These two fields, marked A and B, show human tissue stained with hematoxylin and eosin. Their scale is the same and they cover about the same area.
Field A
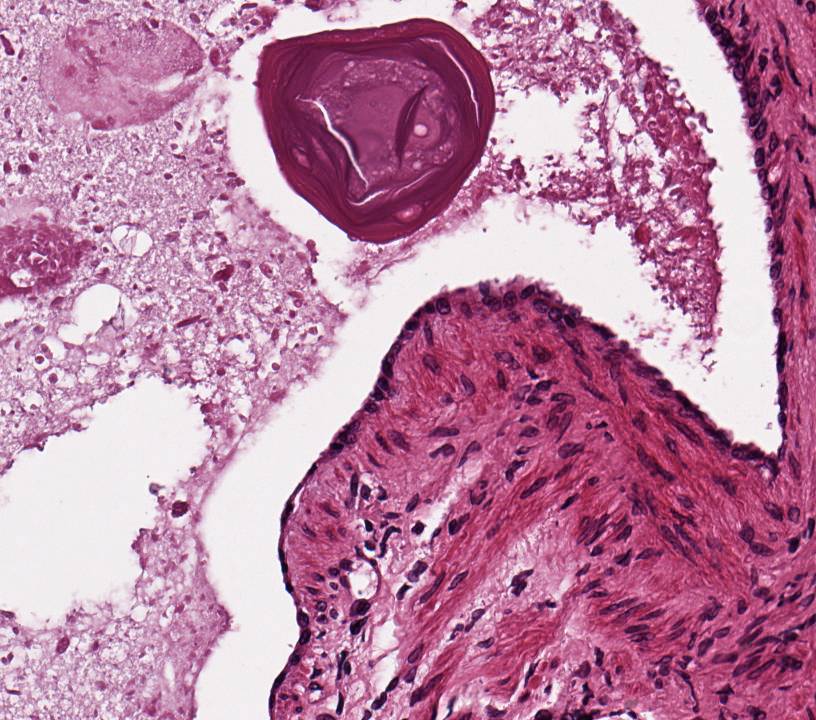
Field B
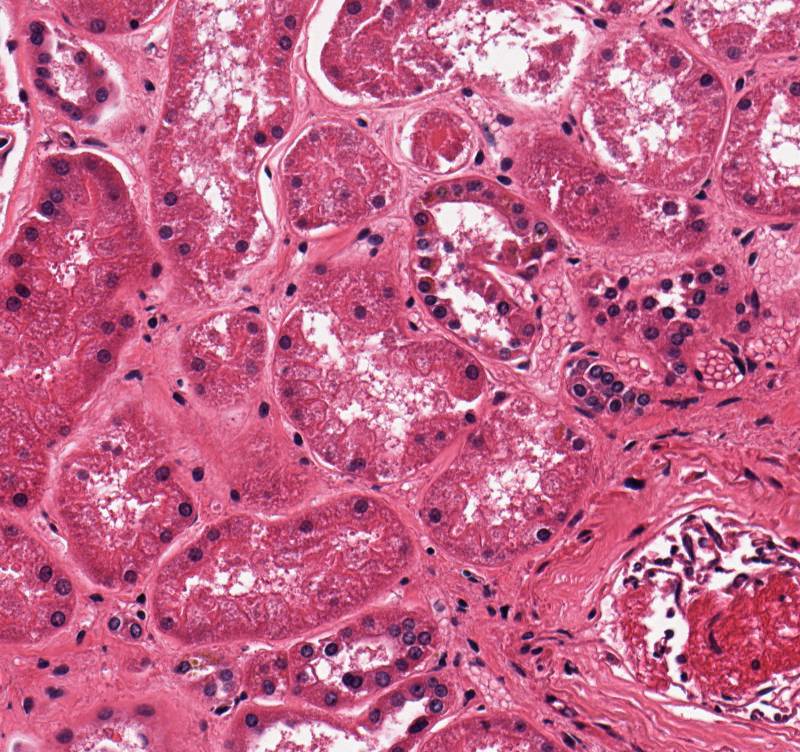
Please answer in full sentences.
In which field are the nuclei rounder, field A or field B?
On the whole the nuclei of field B are rounder than those of field A.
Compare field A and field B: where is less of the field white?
Field B has less white space.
